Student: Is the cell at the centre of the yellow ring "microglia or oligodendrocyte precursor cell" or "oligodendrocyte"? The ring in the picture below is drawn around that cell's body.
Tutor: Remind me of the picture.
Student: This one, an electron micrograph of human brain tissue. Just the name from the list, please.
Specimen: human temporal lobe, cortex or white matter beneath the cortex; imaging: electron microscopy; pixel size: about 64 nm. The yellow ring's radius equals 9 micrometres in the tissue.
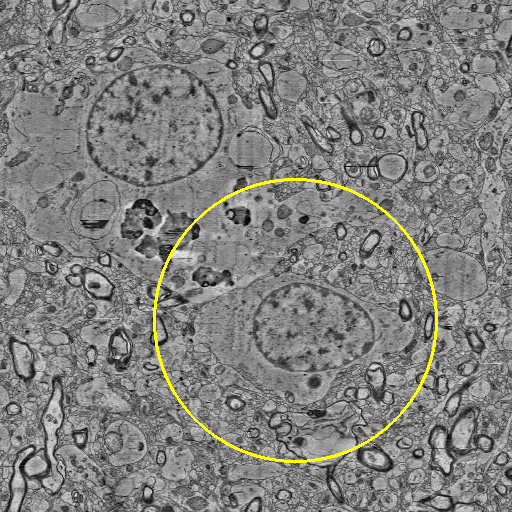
microglia or oligodendrocyte precursor cell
